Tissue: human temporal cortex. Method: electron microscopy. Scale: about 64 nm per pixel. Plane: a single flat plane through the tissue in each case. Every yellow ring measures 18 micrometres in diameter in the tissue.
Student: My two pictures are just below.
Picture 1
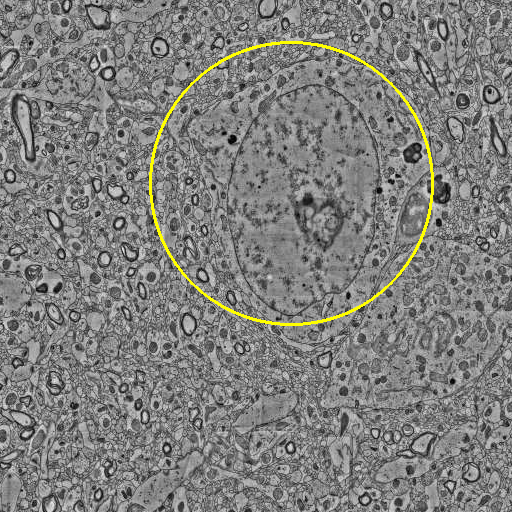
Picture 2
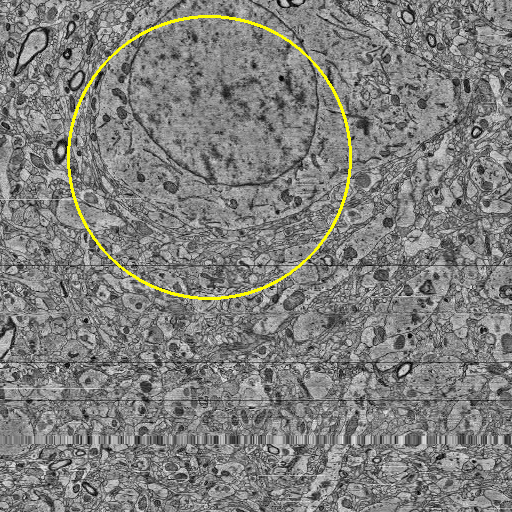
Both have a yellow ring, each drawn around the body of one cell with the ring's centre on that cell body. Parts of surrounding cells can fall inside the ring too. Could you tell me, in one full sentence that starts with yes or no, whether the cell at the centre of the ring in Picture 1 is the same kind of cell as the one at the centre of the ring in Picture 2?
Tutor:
Yes, the two cells are of the same kind.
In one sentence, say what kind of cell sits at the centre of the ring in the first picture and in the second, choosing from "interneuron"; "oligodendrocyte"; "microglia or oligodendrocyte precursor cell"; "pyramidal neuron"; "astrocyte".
Each one of the two ringed cells is a pyramidal neuron.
